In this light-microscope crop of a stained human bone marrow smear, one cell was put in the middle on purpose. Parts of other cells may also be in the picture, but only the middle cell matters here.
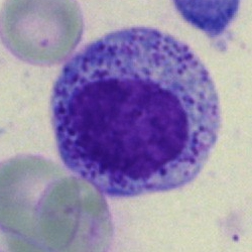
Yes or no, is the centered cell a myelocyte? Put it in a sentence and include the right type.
Yes, the cell under consideration, the one in the middle, is a myelocyte.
